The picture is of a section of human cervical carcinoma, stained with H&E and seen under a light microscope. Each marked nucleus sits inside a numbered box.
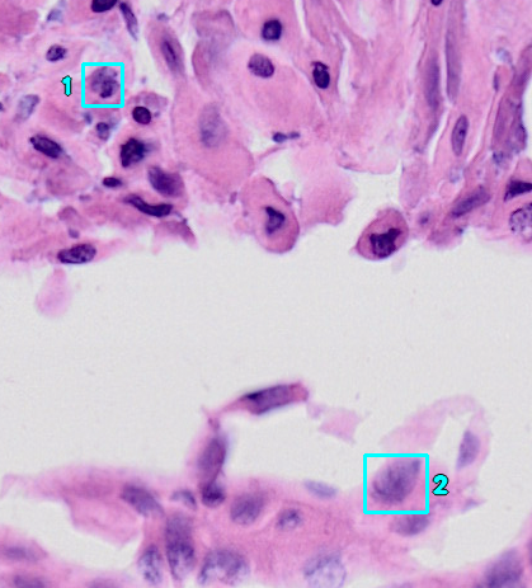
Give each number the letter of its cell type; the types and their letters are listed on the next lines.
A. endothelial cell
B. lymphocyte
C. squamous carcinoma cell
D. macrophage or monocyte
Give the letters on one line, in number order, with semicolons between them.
D; C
